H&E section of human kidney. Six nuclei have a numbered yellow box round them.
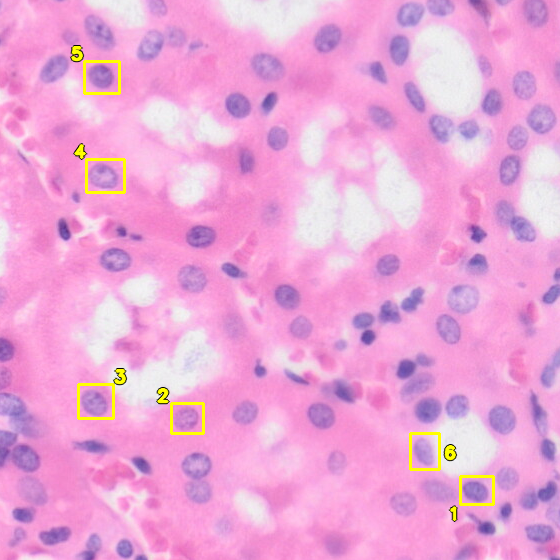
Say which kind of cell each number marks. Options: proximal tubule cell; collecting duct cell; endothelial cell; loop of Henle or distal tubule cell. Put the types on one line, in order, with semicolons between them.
collecting duct cell; proximal tubule cell; proximal tubule cell; proximal tubule cell; proximal tubule cell; collecting duct cell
